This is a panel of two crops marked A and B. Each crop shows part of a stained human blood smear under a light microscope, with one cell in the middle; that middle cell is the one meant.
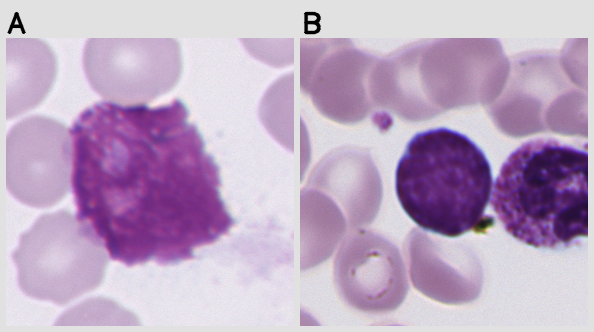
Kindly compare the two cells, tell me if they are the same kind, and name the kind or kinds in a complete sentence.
No, on this set crop A shows a smudge cell and crop B shows a typical lymphocyte.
